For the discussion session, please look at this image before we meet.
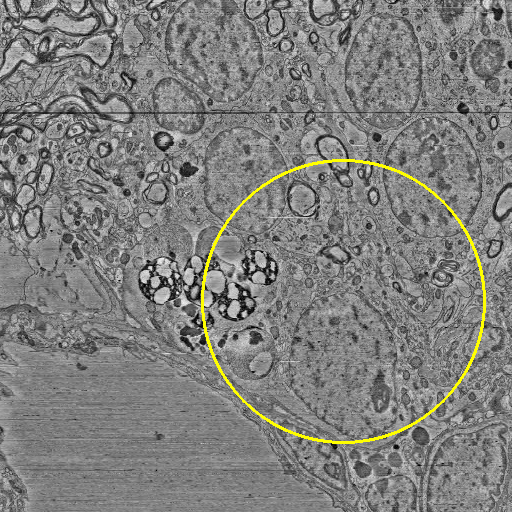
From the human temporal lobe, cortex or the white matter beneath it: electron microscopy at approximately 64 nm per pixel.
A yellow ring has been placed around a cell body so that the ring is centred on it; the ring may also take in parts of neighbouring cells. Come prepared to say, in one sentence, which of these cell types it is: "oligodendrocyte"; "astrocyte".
The cell centred in the ring is an astrocyte.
